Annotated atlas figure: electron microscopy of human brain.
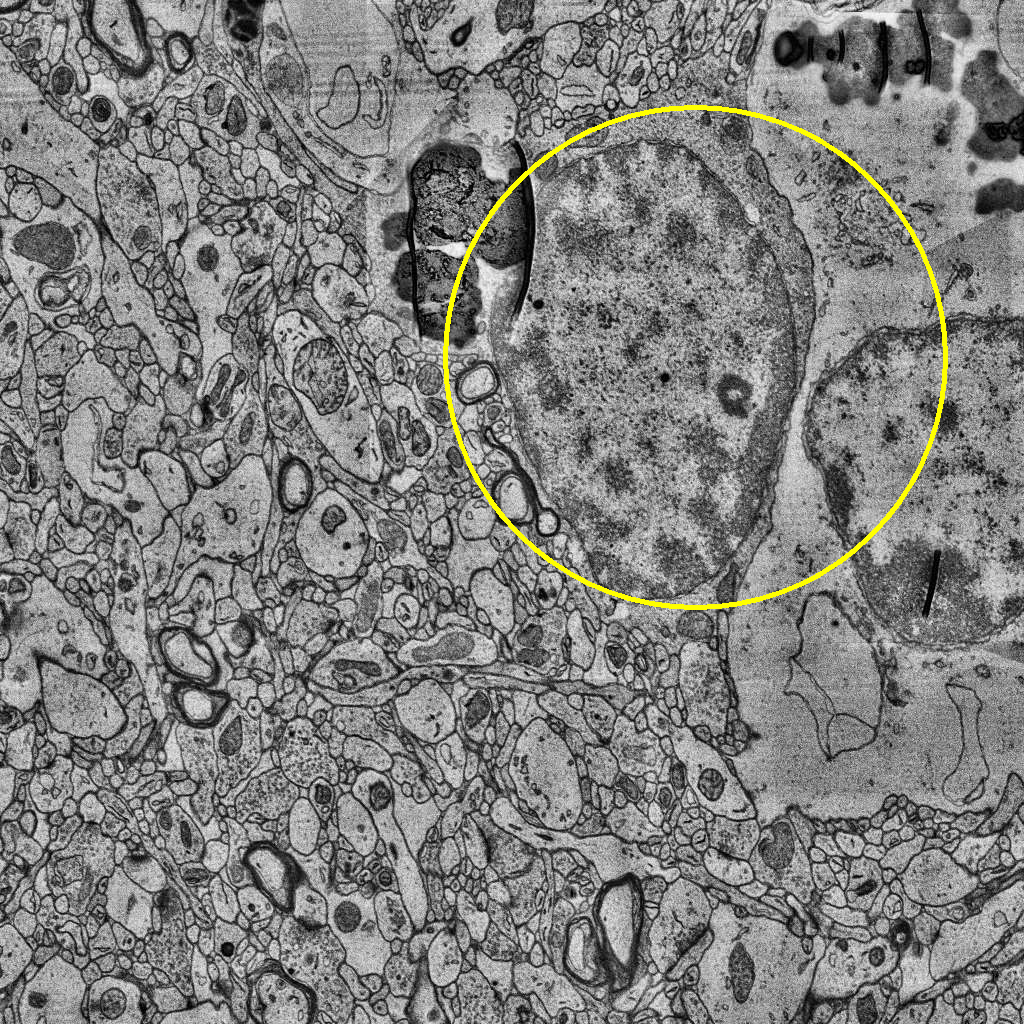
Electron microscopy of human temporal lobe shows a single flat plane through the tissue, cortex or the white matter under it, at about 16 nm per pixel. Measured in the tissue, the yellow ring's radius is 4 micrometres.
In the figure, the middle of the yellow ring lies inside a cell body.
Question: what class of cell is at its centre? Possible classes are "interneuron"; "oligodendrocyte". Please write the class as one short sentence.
The yellow ring's centre lies in an oligodendrocyte.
